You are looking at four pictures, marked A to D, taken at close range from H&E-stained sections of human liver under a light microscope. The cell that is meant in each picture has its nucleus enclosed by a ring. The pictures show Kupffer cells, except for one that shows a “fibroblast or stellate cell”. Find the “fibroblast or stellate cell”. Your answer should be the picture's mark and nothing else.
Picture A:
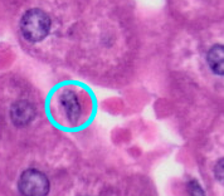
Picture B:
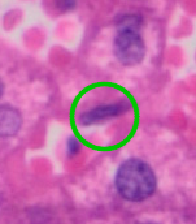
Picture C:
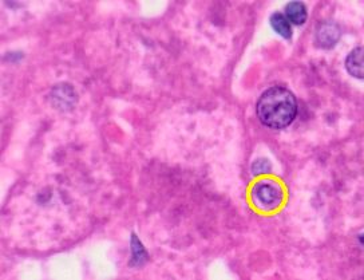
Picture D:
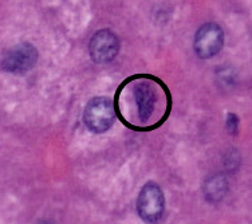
D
